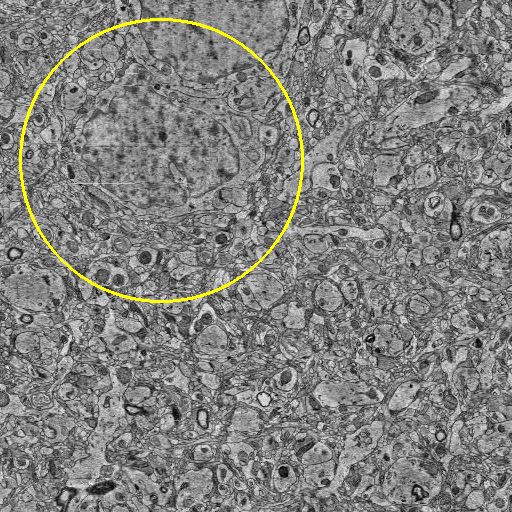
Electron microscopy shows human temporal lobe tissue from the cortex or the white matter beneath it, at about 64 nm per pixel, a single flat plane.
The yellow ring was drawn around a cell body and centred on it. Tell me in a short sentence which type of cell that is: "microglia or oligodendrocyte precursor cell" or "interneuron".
The cell at the ring's centre is an interneuron.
